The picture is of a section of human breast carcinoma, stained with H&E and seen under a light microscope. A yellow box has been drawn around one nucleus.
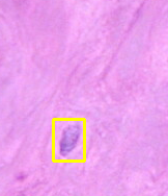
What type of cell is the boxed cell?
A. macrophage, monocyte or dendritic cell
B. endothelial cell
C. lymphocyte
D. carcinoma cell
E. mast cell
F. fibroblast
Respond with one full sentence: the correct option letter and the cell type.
Hey, it is option F: the boxed cell is a fibroblast.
